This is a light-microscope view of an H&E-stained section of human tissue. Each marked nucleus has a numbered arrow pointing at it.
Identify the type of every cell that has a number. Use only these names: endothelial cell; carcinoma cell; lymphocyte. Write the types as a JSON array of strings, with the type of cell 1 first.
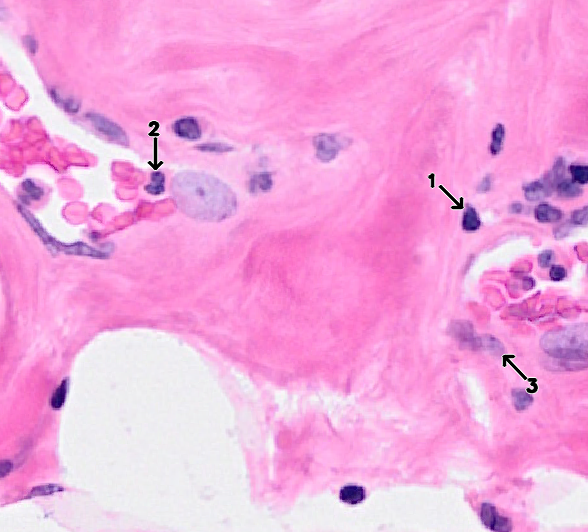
["lymphocyte", "endothelial cell", "endothelial cell"]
